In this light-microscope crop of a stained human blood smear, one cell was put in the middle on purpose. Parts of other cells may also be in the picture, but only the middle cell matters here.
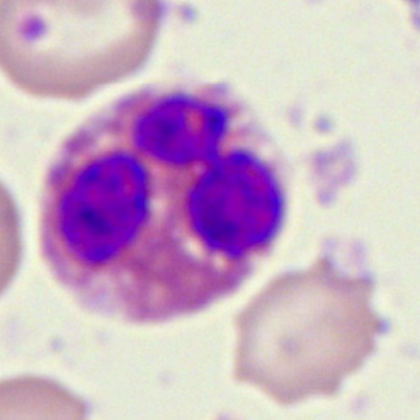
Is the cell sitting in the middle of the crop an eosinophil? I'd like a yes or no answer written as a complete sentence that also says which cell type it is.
Yes, the cell sitting in the center is an eosinophil.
